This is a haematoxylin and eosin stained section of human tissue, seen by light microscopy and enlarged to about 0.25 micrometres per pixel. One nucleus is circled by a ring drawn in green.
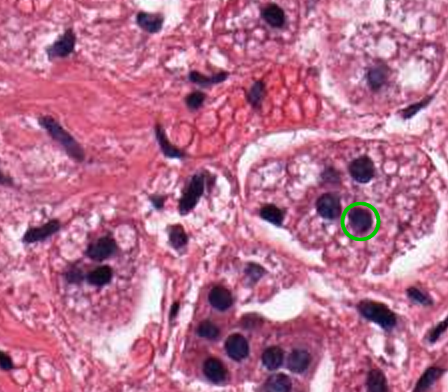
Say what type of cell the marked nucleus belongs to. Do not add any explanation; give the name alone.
adrenal cortical cell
